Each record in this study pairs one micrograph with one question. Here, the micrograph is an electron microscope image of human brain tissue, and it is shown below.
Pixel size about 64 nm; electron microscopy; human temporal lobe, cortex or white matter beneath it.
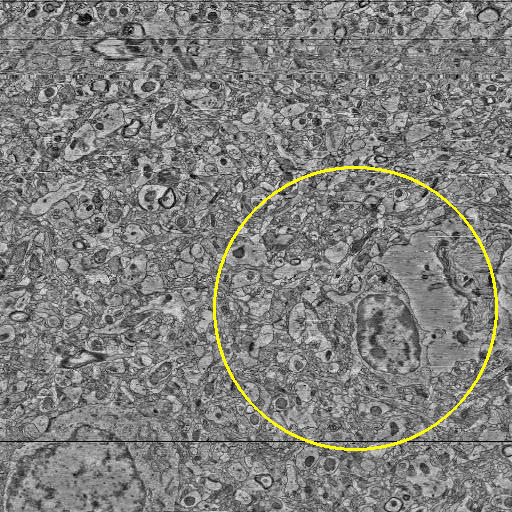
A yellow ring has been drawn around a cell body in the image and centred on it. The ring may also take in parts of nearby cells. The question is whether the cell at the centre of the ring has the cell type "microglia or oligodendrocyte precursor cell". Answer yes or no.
yes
